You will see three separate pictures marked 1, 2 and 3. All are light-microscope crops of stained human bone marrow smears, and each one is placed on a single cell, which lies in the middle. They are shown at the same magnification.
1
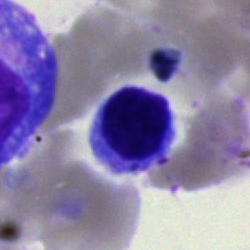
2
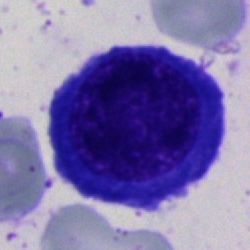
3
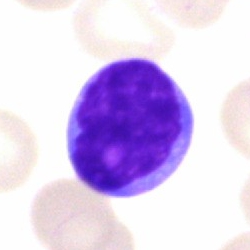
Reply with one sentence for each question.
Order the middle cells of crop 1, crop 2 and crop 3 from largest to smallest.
Largest first: 2, 3, 1.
